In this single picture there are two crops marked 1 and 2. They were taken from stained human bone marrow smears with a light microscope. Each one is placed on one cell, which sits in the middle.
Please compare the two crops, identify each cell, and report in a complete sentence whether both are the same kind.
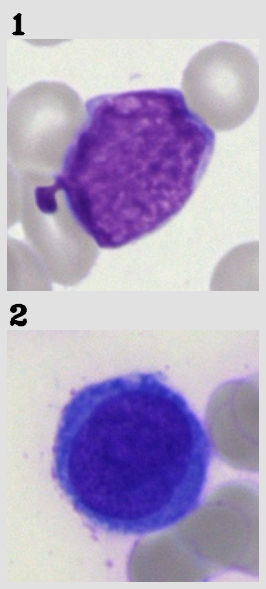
Yes, blasts are present at the centre of both crops.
